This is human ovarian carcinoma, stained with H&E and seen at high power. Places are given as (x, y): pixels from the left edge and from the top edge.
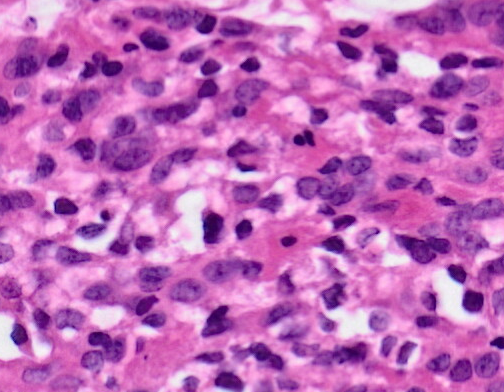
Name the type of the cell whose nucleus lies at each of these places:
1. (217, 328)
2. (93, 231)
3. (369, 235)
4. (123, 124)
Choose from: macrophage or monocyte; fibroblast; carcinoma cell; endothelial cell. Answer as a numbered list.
1. carcinoma cell
2. macrophage or monocyte
3. macrophage or monocyte
4. carcinoma cell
